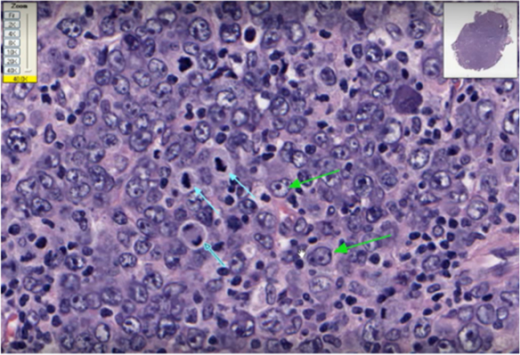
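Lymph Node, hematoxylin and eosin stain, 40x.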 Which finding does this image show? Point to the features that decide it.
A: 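Diffuse proliferation of lymphocytes. Densely packed cells fill the whole field with no follicles or other normal structure. The cells lie in a continuous sheet with little stroma between them.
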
